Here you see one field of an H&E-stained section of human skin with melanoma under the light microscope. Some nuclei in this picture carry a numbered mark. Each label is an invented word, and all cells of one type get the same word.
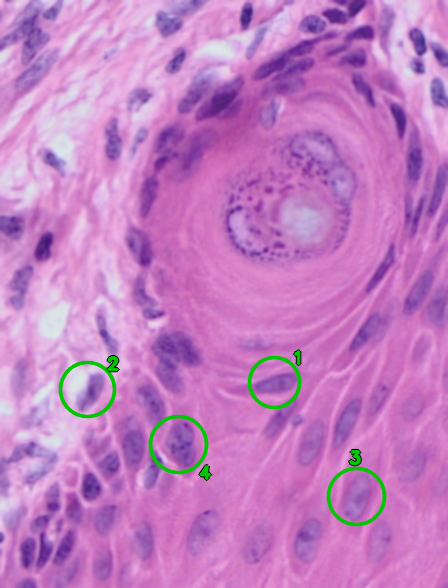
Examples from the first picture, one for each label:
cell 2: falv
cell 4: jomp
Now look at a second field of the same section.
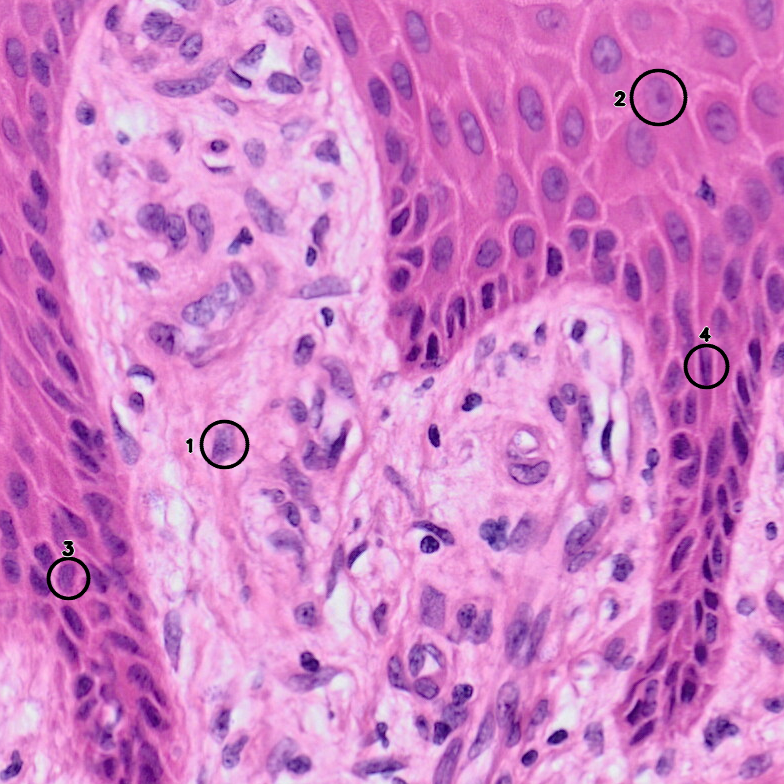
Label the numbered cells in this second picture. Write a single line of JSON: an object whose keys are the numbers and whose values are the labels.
{"1": "falv", "2": "jomp", "3": "jomp", "4": "jomp"}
